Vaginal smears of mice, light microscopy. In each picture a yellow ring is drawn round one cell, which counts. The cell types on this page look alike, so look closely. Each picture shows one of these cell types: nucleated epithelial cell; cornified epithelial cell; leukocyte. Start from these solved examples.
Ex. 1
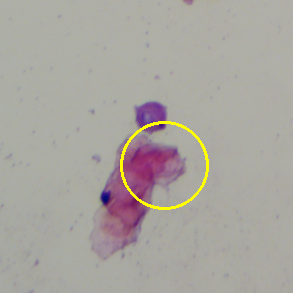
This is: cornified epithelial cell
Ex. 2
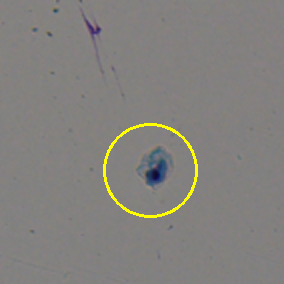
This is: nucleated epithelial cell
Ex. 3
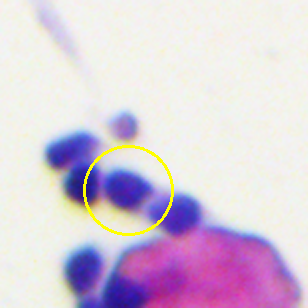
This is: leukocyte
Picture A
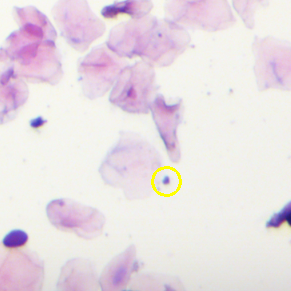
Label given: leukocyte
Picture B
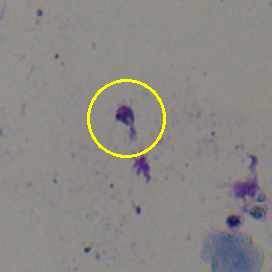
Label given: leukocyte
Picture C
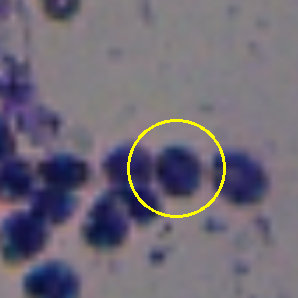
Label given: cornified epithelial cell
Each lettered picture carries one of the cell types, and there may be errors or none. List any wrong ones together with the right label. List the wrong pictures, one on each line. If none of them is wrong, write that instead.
C: change cornified epithelial cell to leukocyte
